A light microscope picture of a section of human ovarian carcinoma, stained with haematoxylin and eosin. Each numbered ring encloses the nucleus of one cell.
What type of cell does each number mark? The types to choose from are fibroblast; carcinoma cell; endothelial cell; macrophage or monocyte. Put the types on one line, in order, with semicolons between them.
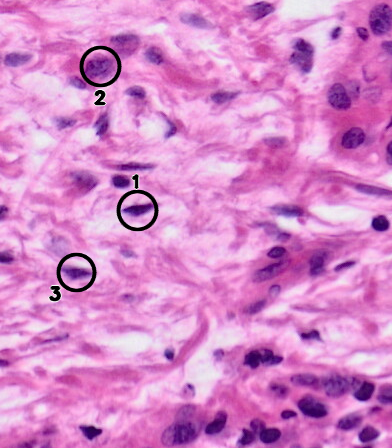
fibroblast; endothelial cell; fibroblast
